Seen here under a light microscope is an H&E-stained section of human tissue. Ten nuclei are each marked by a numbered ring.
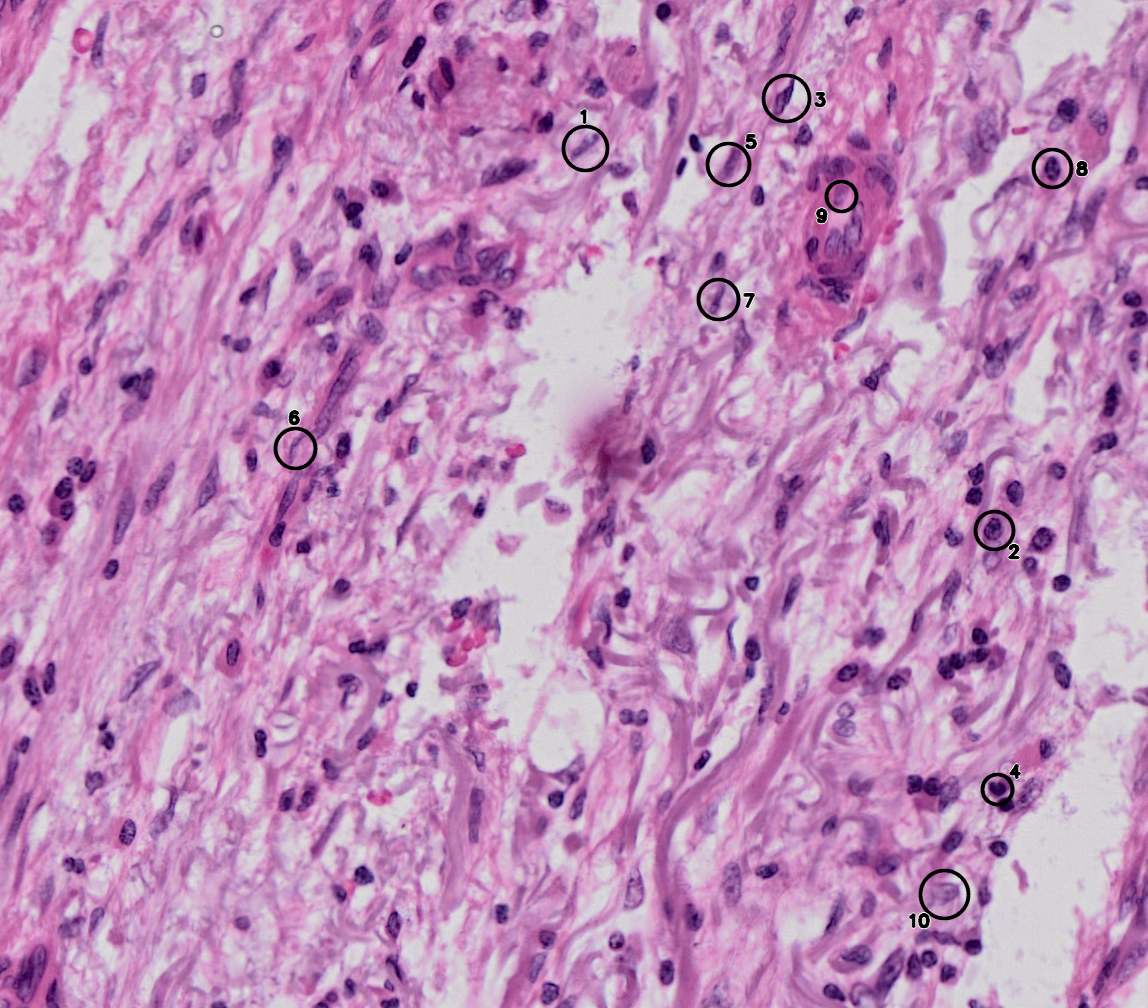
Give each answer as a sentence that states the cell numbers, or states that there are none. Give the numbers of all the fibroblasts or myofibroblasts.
The cells carrying the numbers 1, 3, 5, 6, 7 and 10 are fibroblasts or myofibroblasts.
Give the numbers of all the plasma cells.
Cells 2, 4 and 8 are plasma cells by cell type.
